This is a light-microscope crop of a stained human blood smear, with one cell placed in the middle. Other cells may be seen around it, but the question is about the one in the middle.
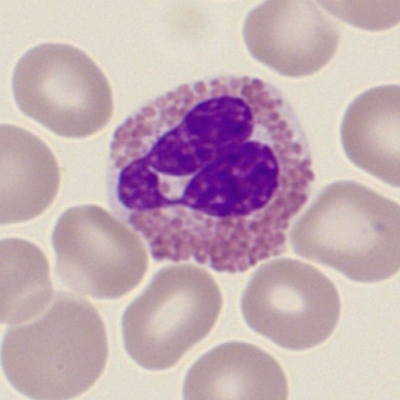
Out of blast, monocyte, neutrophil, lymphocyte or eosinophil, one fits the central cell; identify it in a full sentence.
The cell at the central position in this crop is an eosinophil.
